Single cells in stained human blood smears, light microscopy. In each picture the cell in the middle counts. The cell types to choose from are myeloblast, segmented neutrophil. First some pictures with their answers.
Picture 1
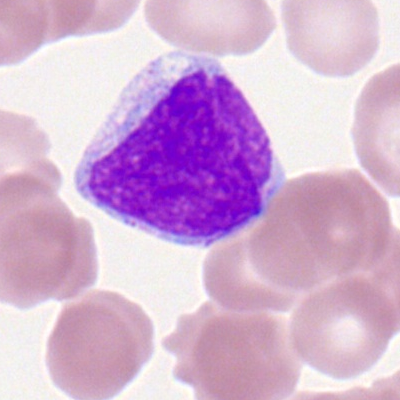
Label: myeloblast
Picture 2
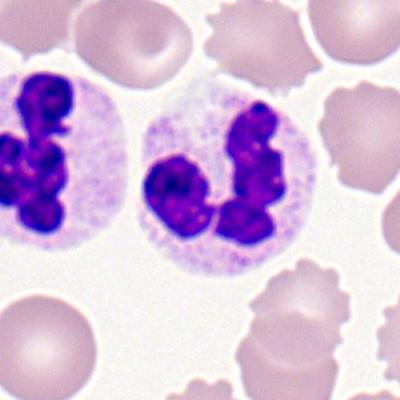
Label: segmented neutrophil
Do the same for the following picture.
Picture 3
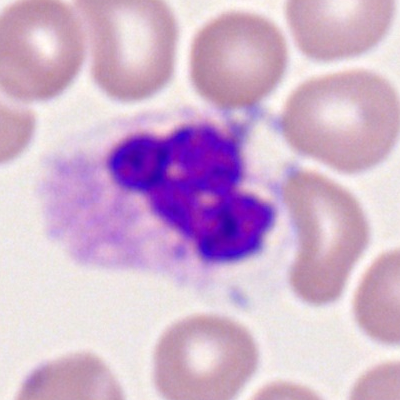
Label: segmented neutrophil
